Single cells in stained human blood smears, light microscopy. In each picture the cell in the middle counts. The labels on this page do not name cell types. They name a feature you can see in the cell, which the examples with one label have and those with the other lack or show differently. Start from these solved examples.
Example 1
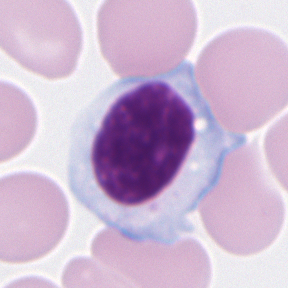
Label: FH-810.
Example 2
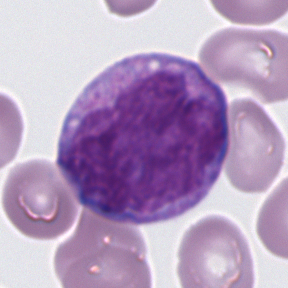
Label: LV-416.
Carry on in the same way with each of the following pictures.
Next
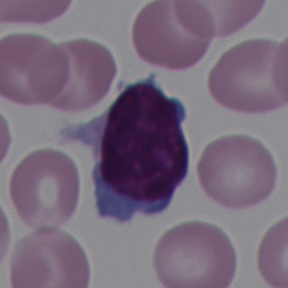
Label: FH-810.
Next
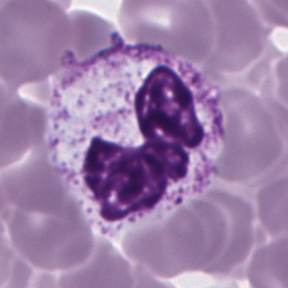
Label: FH-810.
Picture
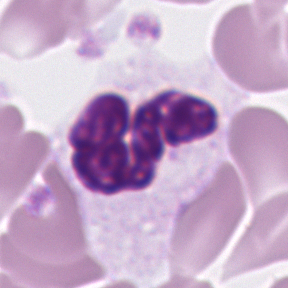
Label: FH-810.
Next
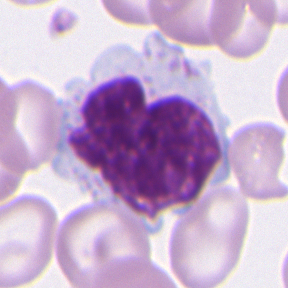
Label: FH-810.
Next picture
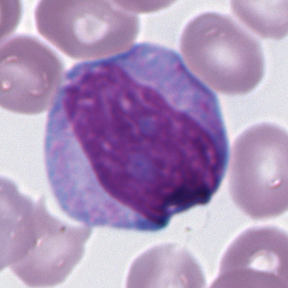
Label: LV-416.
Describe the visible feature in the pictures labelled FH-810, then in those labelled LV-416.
FH-810, ragged outline or projections; LV-416, smooth outline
